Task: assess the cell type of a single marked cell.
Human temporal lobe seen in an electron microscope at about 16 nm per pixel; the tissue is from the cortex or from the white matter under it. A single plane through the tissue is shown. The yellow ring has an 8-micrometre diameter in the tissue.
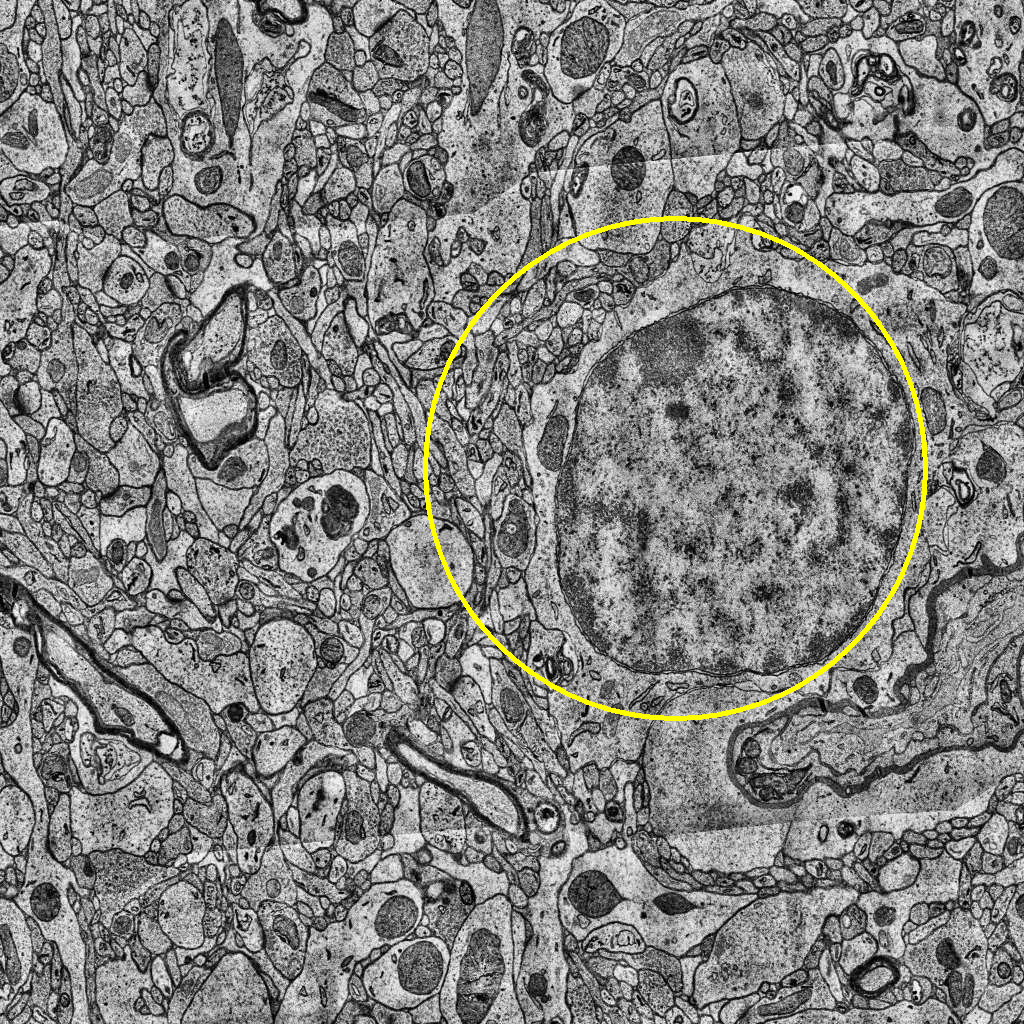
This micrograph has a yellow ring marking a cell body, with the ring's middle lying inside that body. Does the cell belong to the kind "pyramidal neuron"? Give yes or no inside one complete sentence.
No, the marked cell, which holds the middle of the ring, belongs to another kind.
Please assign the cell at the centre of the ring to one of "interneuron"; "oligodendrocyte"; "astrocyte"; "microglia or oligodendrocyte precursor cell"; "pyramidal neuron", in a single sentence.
At the centre of the ring sits a microglial cell or oligodendrocyte precursor cell.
